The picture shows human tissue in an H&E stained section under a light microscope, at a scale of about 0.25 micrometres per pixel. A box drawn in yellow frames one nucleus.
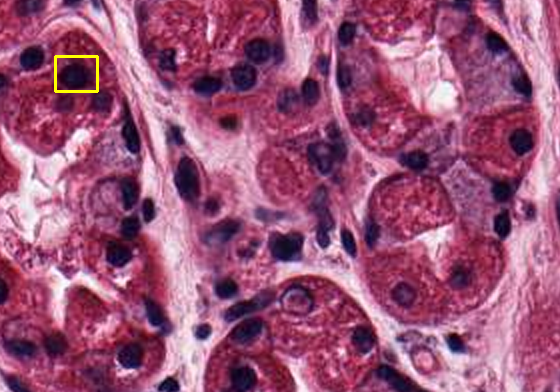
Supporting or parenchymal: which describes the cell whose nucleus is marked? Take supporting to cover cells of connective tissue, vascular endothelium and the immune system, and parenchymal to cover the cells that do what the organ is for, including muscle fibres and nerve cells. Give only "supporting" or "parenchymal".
parenchymal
